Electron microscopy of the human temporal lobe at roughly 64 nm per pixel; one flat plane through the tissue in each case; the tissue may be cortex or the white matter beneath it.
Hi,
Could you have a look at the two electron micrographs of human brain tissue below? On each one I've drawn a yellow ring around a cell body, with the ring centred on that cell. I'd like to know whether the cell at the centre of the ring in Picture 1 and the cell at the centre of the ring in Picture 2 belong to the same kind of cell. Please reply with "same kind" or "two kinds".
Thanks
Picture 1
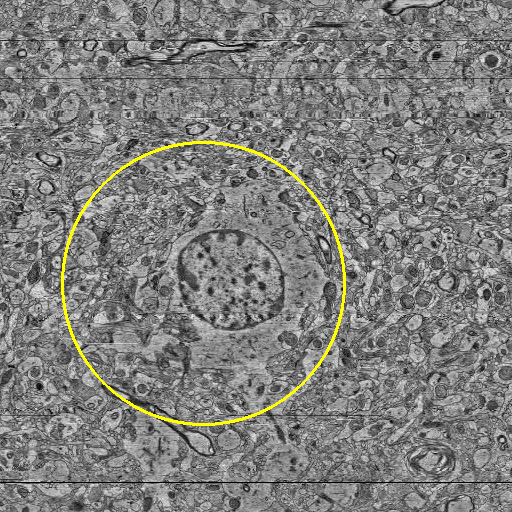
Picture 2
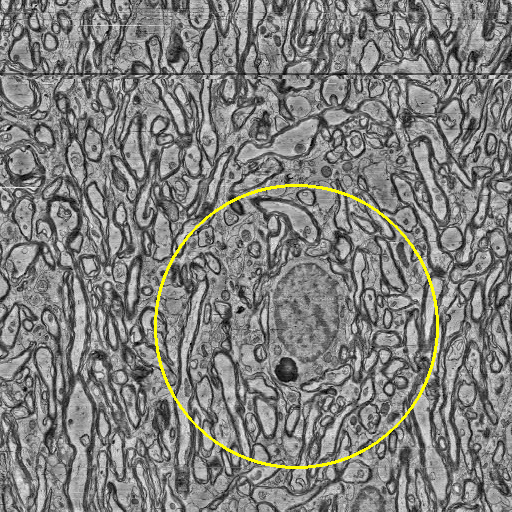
two kinds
